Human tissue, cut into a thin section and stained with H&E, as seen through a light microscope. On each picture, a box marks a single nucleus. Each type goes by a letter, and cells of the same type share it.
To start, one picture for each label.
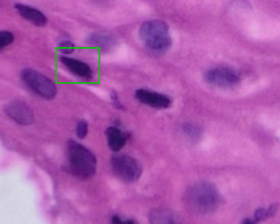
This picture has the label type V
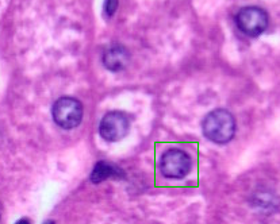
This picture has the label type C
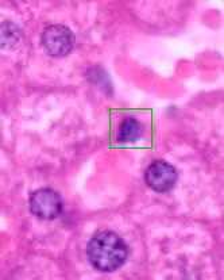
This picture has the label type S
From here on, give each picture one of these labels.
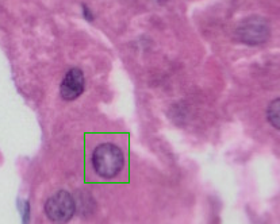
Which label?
type C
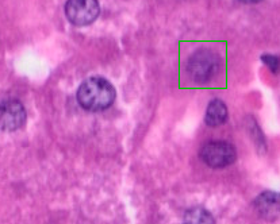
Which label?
type C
